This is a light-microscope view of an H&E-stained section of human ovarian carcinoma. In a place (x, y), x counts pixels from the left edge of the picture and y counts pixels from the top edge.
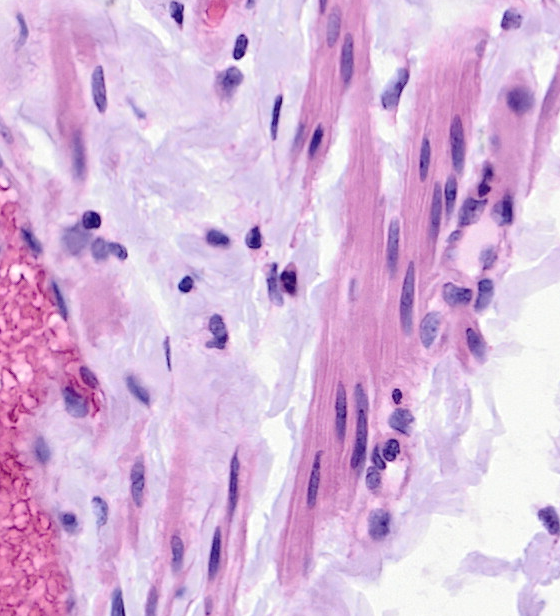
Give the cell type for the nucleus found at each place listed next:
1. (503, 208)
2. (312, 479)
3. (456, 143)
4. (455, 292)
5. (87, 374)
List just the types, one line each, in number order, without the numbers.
endothelial cell
smooth muscle cell
smooth muscle cell
endothelial cell
endothelial cell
